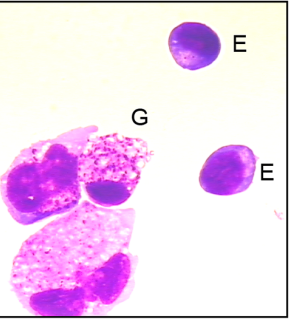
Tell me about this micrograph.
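The granulocytic cells are larger, with abundant pink cytoplasm containing many dark purple granules. Their nuclei are irregular or indented and lie off-centre. Several of the larger cells touch or overlap one another at the lower left.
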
